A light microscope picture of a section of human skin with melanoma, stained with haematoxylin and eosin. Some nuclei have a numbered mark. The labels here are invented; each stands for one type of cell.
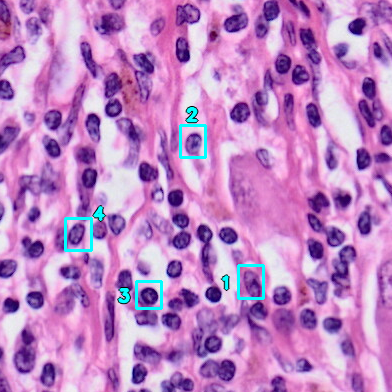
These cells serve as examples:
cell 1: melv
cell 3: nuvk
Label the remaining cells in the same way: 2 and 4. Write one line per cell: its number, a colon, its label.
2: nuvk
4: nuvk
